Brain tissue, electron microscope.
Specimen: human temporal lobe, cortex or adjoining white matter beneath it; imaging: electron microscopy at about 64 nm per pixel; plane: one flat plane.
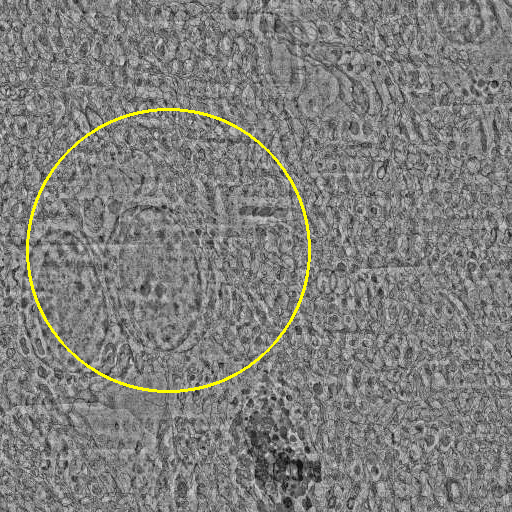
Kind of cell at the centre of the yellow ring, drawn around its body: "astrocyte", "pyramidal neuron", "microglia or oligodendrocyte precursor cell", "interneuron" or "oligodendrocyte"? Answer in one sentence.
The ring's centre falls on an astrocyte.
